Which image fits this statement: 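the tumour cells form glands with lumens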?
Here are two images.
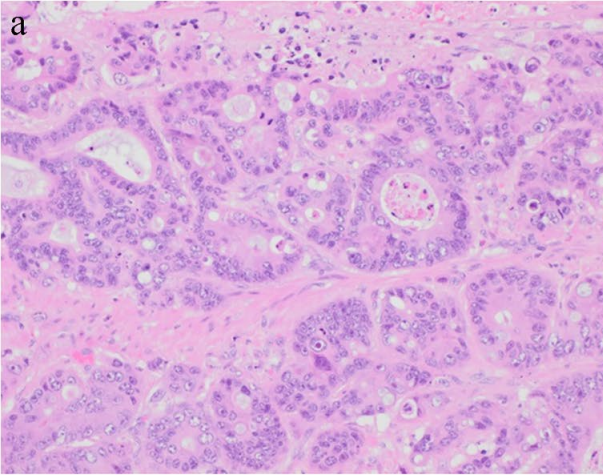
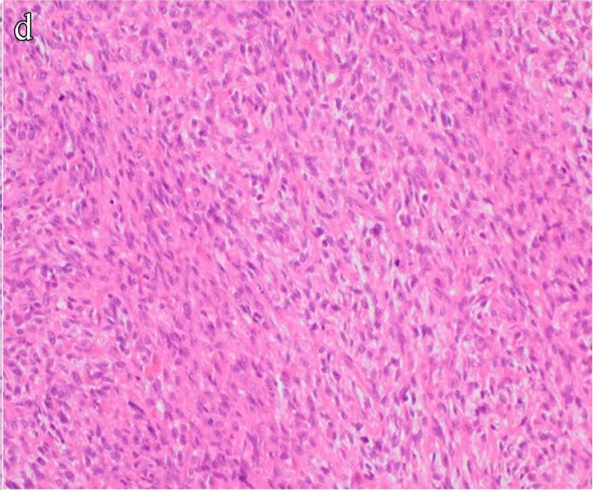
The first image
